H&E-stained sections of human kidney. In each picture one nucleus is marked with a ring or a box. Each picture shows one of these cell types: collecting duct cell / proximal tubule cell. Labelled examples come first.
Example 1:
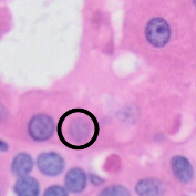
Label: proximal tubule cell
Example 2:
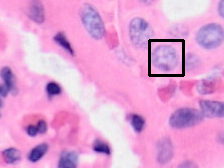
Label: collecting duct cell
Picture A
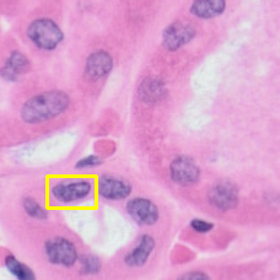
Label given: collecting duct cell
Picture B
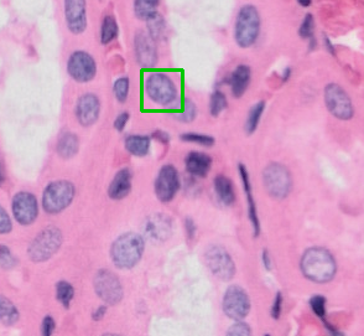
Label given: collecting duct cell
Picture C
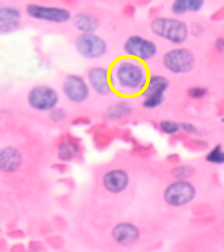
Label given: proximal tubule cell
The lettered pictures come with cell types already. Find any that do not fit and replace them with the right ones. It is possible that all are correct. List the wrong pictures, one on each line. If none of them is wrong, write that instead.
C is labelled proximal tubule cell; correct label: collecting duct cell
